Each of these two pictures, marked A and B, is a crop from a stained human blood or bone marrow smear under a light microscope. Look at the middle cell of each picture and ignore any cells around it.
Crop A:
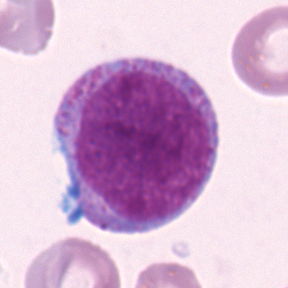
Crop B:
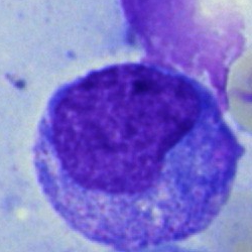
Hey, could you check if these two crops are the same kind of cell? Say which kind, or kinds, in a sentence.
Yes, the cells at the centre of the two crops are both promyelocytes.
